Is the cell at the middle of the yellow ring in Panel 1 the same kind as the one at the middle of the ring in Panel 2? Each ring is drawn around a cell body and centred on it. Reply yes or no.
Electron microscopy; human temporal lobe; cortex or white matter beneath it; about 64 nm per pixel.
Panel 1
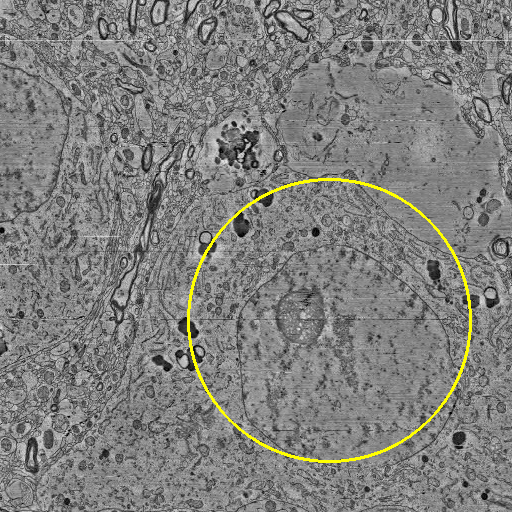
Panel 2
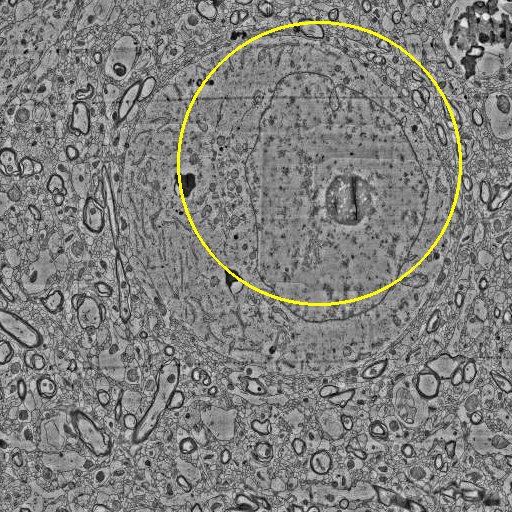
yes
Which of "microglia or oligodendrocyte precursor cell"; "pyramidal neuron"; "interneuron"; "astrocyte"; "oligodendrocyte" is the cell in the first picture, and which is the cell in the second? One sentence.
In each picture the ringed cell is a pyramidal neuron.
